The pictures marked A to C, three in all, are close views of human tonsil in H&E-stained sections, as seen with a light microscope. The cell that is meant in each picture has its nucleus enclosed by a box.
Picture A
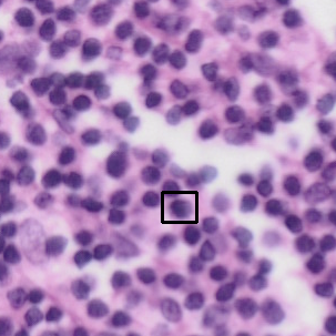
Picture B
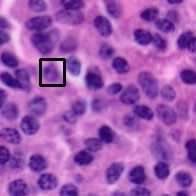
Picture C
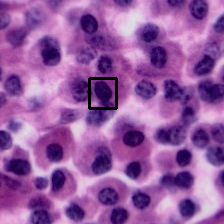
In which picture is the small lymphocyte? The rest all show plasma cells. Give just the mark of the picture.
A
